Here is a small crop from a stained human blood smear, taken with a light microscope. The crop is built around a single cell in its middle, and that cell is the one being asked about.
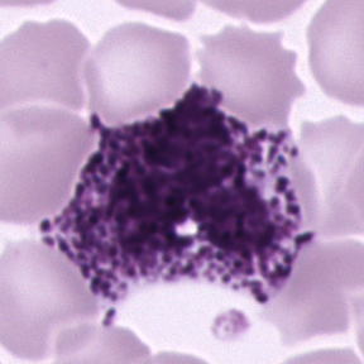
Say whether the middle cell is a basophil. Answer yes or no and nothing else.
yes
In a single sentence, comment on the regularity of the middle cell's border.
Irregular and not smooth, the cell boundary is ragged or drawn out into projections.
